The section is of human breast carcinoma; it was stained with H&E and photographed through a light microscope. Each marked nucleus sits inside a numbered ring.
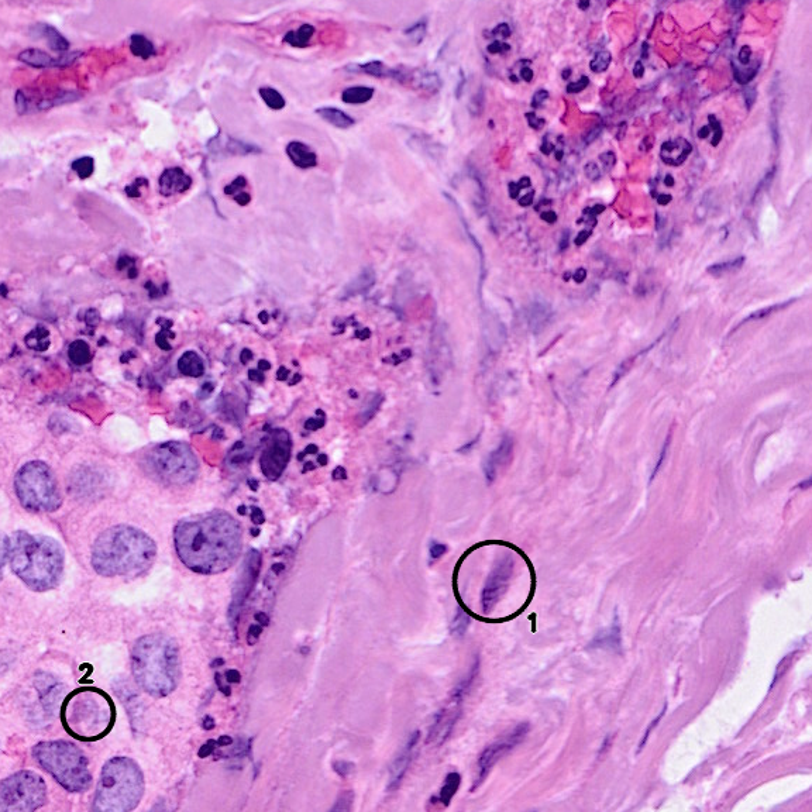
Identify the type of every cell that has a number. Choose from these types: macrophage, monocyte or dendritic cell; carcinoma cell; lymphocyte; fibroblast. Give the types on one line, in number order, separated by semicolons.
fibroblast; carcinoma cell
